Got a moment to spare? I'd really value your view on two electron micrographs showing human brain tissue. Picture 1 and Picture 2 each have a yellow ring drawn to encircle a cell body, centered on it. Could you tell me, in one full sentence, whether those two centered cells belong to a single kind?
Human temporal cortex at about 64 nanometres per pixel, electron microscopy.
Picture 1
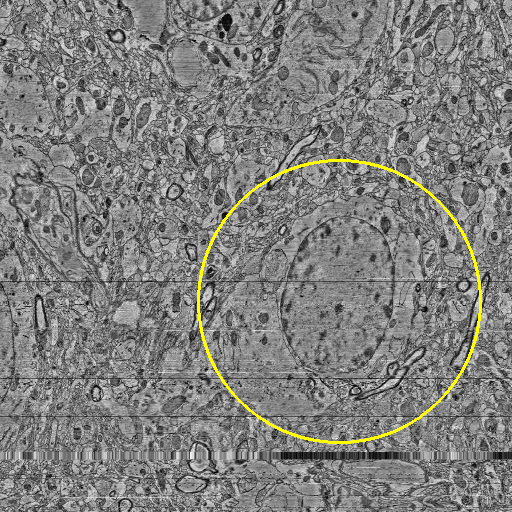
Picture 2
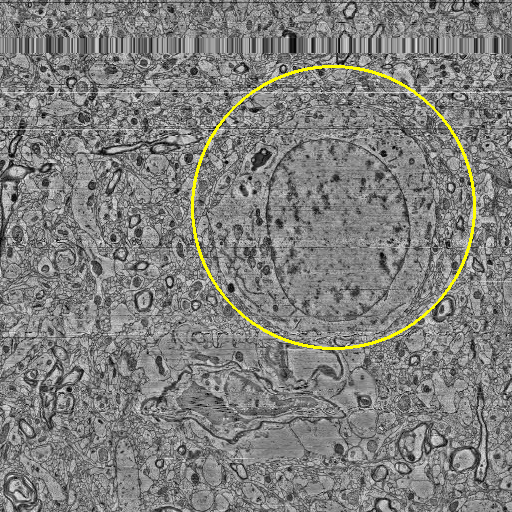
No, the two centered cells in Picture 1 and Picture 2 are of two kinds.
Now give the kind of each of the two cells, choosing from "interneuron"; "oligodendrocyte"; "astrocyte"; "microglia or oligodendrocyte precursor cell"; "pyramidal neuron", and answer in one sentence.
The cell in the first picture is an astrocyte, and the cell in the second is a pyramidal neuron.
